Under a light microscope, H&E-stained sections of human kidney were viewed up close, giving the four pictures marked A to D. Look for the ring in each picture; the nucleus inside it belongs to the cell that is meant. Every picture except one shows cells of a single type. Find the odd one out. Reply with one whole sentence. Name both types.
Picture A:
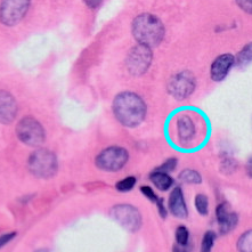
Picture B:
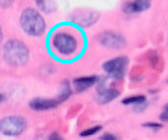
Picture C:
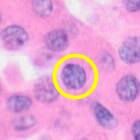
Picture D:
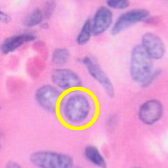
Picture D differs, because its cell is a collecting duct cell and the rest are “loop of Henle or distal tubule cells”.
